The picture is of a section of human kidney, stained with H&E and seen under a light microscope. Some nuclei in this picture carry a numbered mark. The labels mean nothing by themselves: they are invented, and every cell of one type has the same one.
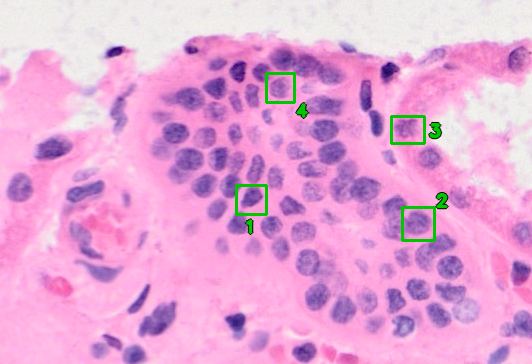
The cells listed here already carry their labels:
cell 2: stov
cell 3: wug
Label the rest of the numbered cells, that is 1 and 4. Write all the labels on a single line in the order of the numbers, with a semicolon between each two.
stov; stov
